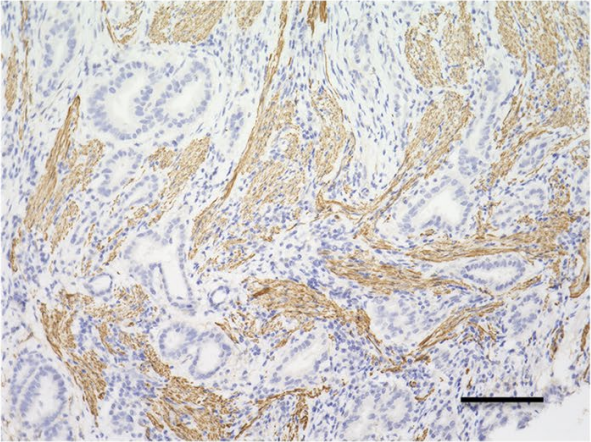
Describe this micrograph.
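Thick bundles of brown-stained spindle cells sweep in long fascicles between and around the glands. The glands are formed by epithelial cells with blue nuclei and are unstained. Stroma between the brown bundles contains scattered blue nuclei.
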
